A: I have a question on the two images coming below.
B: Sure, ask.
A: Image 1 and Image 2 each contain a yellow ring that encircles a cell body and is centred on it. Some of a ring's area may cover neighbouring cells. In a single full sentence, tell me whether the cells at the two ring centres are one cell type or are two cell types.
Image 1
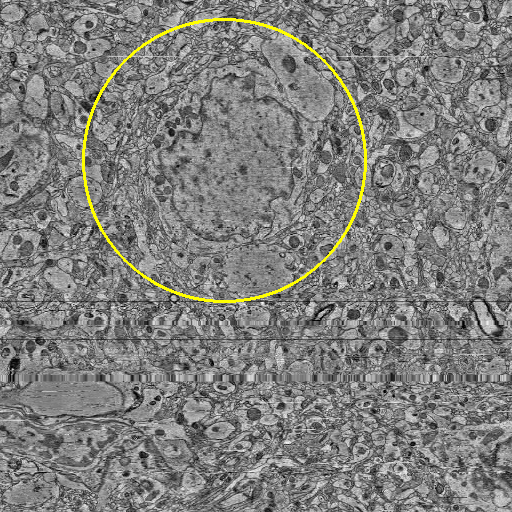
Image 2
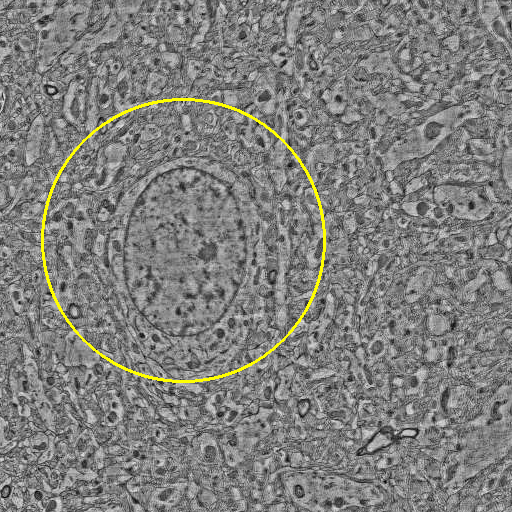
As for the ring-centre cells, the one in Image 1 and the one in Image 2 are two cell types.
